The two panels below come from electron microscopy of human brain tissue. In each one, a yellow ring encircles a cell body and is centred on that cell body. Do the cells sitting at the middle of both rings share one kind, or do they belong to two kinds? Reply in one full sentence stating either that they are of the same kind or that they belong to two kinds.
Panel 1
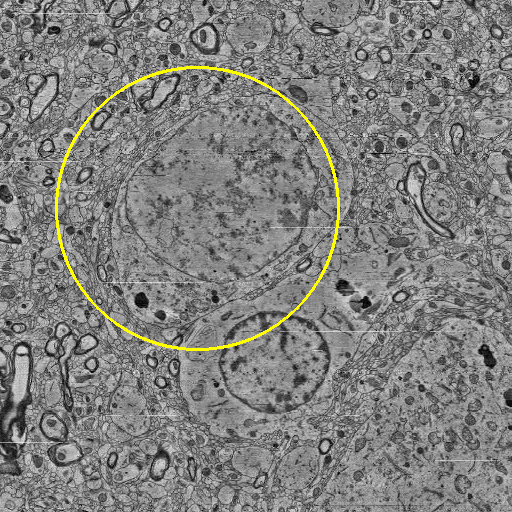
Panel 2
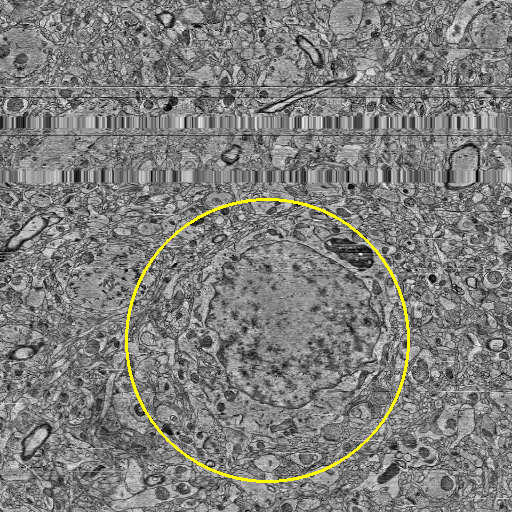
The cells at the centres of the two rings belong to two kinds.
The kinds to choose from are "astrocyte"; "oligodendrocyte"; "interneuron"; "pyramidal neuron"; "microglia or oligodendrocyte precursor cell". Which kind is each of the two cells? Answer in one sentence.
Of the two, the first cell is a pyramidal neuron and the second cell is an interneuron.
